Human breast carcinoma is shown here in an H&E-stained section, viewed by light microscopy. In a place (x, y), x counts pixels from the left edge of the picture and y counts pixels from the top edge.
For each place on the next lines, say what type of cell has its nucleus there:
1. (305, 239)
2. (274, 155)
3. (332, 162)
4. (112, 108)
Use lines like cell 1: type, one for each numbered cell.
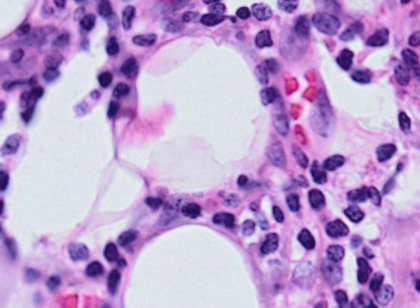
cell 1: lymphocyte
cell 2: endothelial cell
cell 3: lymphocyte
cell 4: lymphocyte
